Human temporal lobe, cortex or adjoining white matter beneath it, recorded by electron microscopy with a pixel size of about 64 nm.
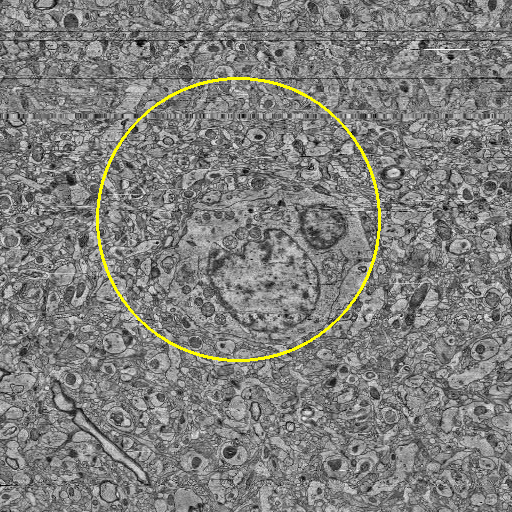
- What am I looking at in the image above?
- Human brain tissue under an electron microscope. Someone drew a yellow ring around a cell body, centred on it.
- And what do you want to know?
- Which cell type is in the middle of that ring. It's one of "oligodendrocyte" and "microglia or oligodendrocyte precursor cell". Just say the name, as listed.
oligodendrocyte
